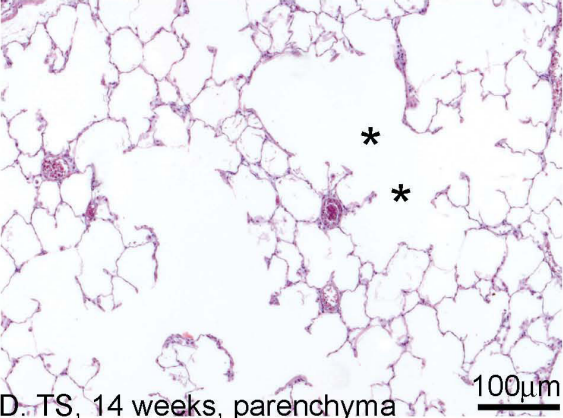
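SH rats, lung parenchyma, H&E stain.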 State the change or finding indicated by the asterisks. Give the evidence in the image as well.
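The asterisks lie in large, irregular airspaces. Alveolar septa around them are broken off with free ends. So: Loss of connectivity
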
